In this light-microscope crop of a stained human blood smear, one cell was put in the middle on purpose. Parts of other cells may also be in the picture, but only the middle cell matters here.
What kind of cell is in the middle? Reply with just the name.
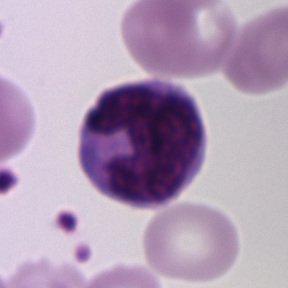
monocyte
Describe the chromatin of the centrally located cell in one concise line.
The chromatin in this nucleus is coarsely clumped.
